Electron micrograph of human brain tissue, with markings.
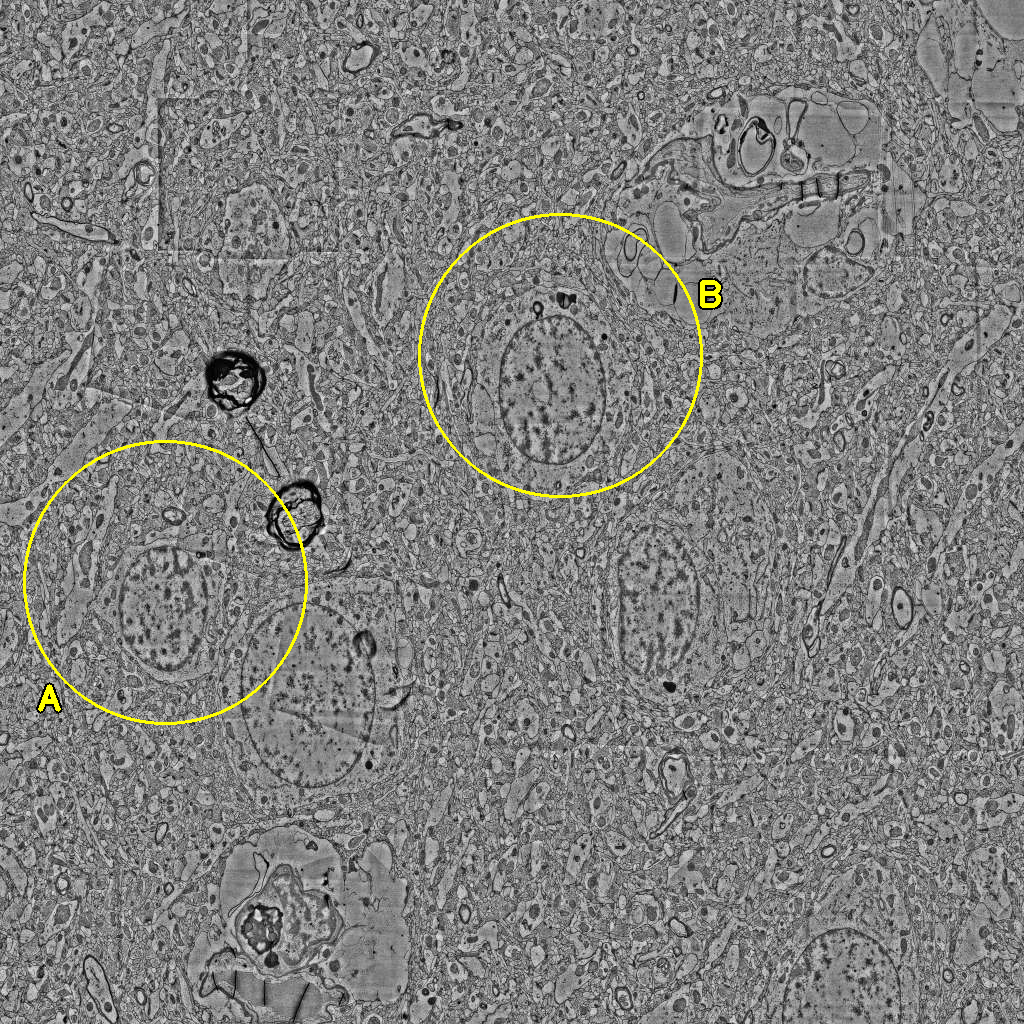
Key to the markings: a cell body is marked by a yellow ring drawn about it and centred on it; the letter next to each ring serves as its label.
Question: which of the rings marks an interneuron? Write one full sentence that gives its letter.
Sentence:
In this picture, the ring marking that kind of cell has the letter A.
